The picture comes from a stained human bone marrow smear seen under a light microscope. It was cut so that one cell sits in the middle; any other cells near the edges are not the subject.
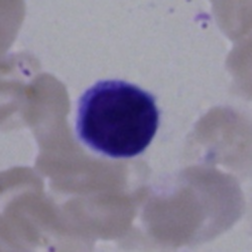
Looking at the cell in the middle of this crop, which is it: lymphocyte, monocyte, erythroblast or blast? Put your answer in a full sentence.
The centered cell in this crop is a lymphocyte.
